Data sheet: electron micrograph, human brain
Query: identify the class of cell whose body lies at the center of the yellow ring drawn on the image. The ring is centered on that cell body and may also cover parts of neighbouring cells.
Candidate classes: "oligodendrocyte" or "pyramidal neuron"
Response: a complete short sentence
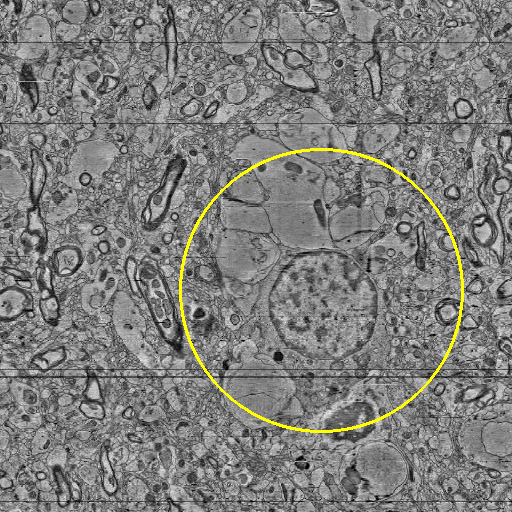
At the center of the ring lies an oligodendrocyte.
